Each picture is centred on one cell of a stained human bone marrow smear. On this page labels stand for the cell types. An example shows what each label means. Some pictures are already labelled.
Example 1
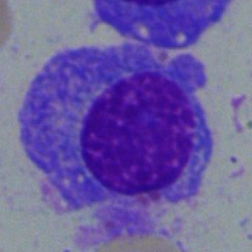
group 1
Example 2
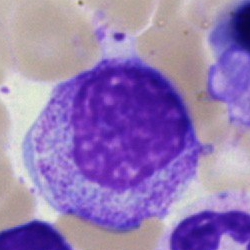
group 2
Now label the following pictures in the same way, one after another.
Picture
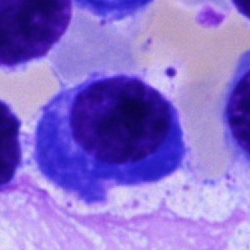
group 1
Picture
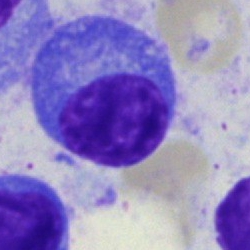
group 1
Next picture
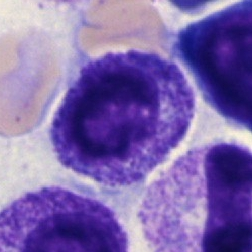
group 2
